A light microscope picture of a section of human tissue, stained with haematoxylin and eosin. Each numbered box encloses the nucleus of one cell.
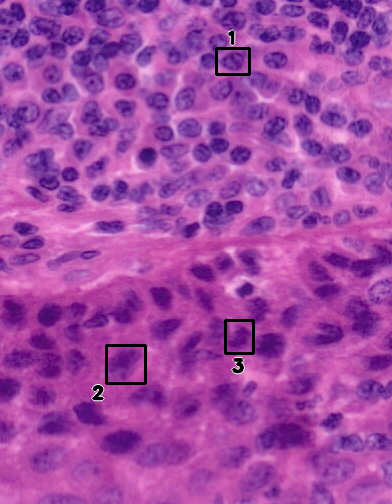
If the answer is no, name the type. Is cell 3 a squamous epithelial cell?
Yes.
